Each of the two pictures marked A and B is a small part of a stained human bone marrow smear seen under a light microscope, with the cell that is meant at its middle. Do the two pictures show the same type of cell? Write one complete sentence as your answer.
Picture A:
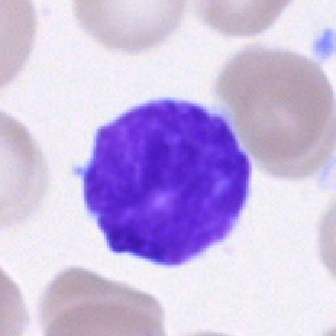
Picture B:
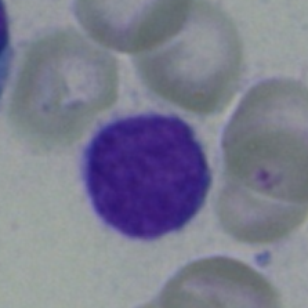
Yes, both are lymphocytes.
